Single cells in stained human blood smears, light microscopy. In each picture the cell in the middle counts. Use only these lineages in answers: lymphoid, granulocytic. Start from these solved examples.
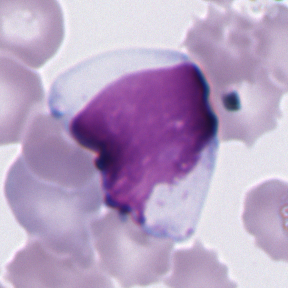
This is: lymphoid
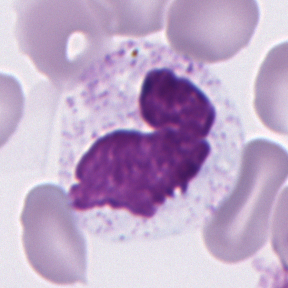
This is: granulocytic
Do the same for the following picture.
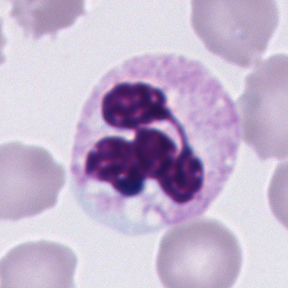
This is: granulocytic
